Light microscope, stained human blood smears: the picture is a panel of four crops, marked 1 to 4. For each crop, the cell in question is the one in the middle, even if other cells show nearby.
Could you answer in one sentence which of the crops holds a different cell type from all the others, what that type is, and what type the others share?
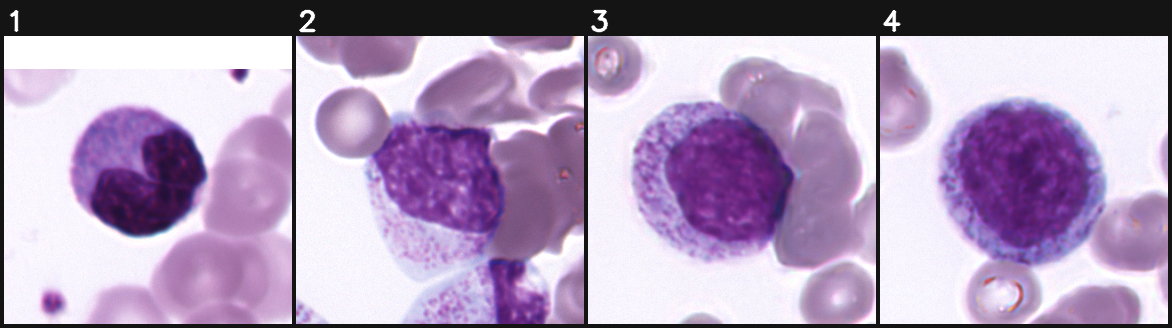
Crop 1 is a monocyte, while the rest of the set consists of myelocytes.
